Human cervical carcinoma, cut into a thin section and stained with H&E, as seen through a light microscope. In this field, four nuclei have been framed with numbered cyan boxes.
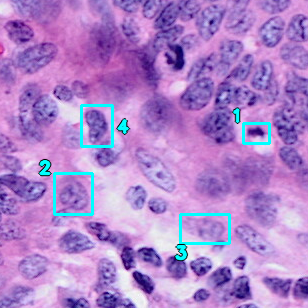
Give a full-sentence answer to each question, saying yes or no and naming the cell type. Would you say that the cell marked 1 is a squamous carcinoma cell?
Yes, the cell indicated by number 1 is a squamous carcinoma cell.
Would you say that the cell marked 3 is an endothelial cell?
Yes, number 3 corresponds to an endothelial cell.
